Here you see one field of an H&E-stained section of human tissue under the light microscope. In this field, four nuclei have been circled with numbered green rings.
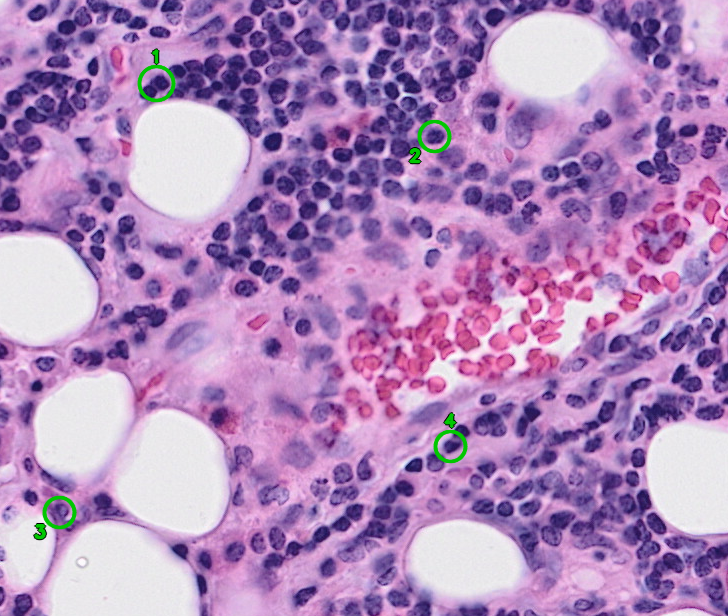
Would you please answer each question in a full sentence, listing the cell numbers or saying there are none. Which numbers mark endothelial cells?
It is cell 3, and no other numbered cell, that is an endothelial cell.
